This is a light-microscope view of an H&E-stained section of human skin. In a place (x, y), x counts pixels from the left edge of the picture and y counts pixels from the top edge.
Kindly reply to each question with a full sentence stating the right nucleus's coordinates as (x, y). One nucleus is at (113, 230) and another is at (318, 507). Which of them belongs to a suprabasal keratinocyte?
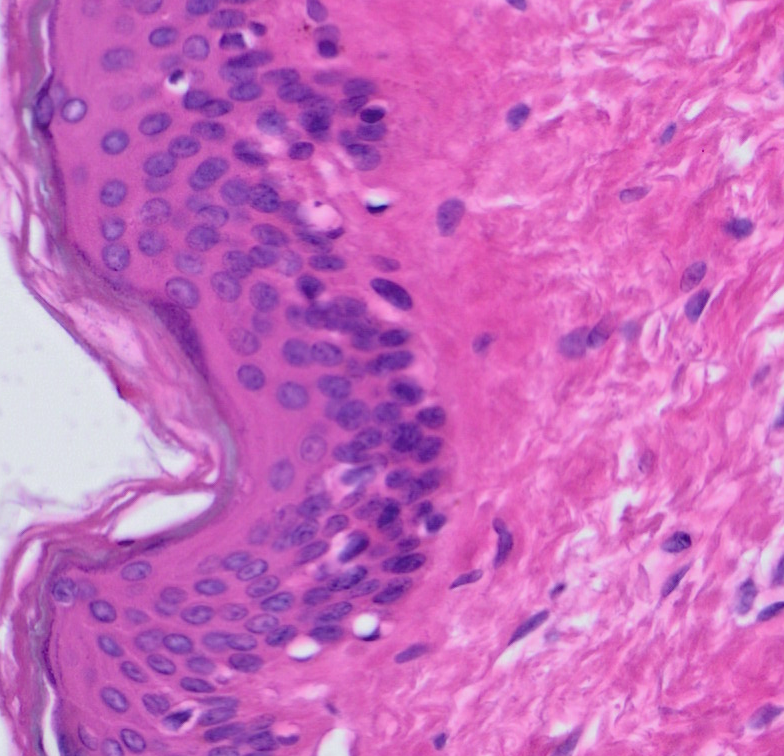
The nucleus belonging to a suprabasal keratinocyte is the one at (113, 230).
